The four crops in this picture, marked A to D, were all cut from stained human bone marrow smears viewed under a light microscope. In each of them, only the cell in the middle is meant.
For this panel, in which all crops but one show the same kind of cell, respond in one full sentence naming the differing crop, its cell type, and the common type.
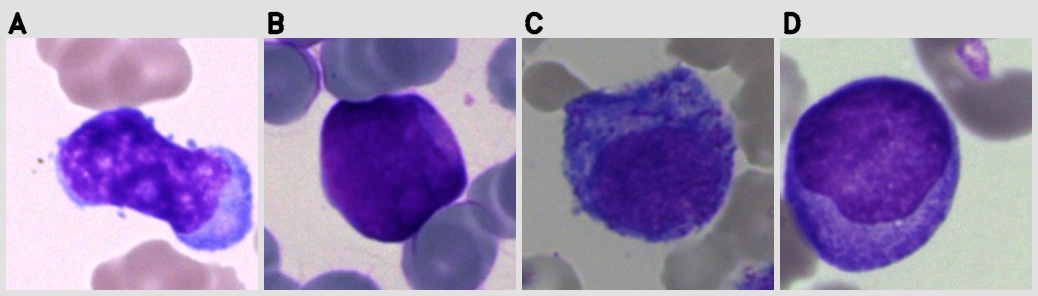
The central cell of crop C is a promyelocyte, while the other crops show blasts.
